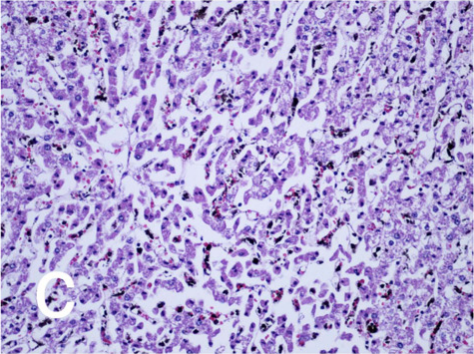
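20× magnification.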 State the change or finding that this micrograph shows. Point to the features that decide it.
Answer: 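Individual cells lie detached from one another. Wide empty spaces surround single and small groups of cells. Cells have irregular, shrunken outlines.
Cell delamination.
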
